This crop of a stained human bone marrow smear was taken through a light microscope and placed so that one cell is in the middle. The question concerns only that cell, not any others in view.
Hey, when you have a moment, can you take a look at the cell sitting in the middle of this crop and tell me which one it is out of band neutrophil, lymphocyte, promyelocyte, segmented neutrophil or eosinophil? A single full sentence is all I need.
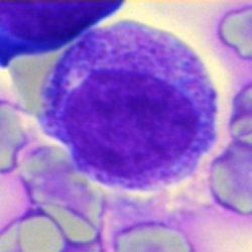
The cell of interest, in the center, is a promyelocyte.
